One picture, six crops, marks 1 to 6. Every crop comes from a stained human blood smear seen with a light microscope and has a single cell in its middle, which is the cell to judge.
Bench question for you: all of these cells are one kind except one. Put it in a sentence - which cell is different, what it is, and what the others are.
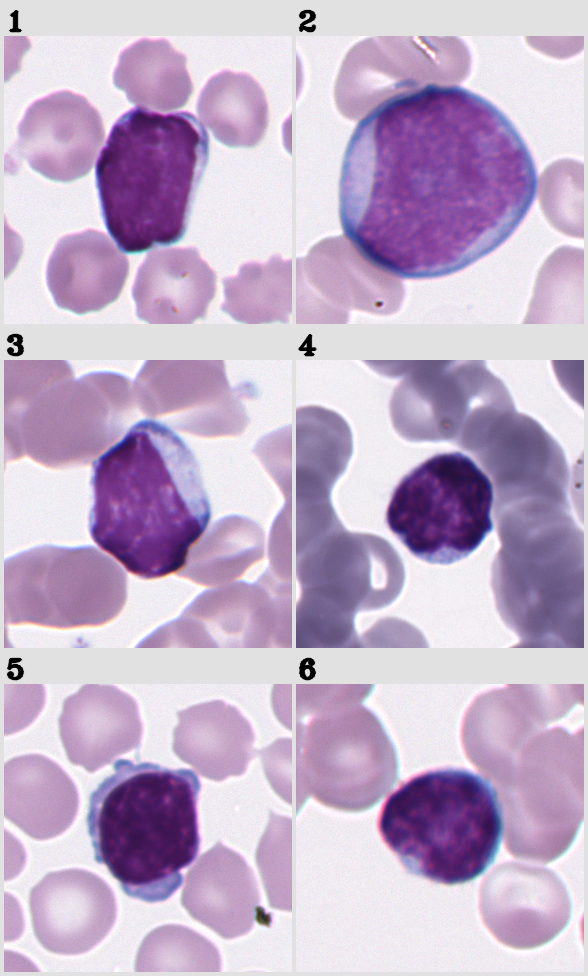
Apart from crop 2, a blast, the crops all show lymphocytes.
